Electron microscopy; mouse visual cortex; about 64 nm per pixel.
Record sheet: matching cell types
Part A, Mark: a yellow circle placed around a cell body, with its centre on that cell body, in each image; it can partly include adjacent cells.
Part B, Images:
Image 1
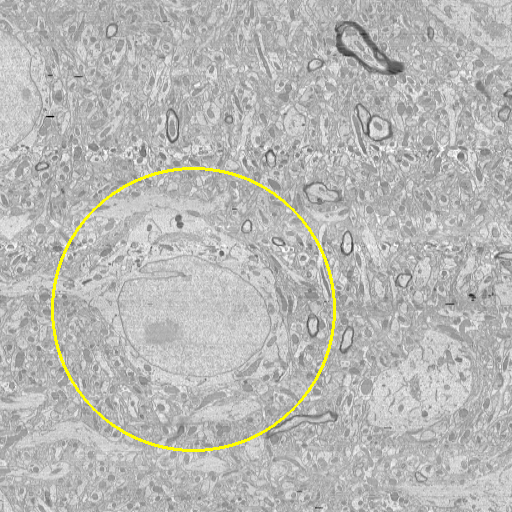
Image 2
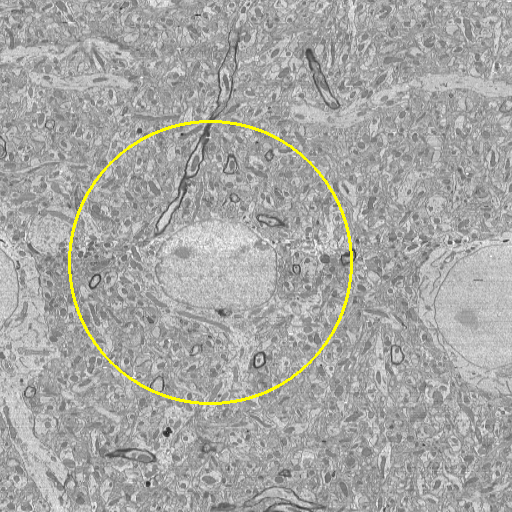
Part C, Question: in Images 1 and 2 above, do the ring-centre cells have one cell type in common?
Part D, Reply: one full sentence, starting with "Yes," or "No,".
No, the ring-centre cells of Image 1 and Image 2 are each of a separate cell type.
